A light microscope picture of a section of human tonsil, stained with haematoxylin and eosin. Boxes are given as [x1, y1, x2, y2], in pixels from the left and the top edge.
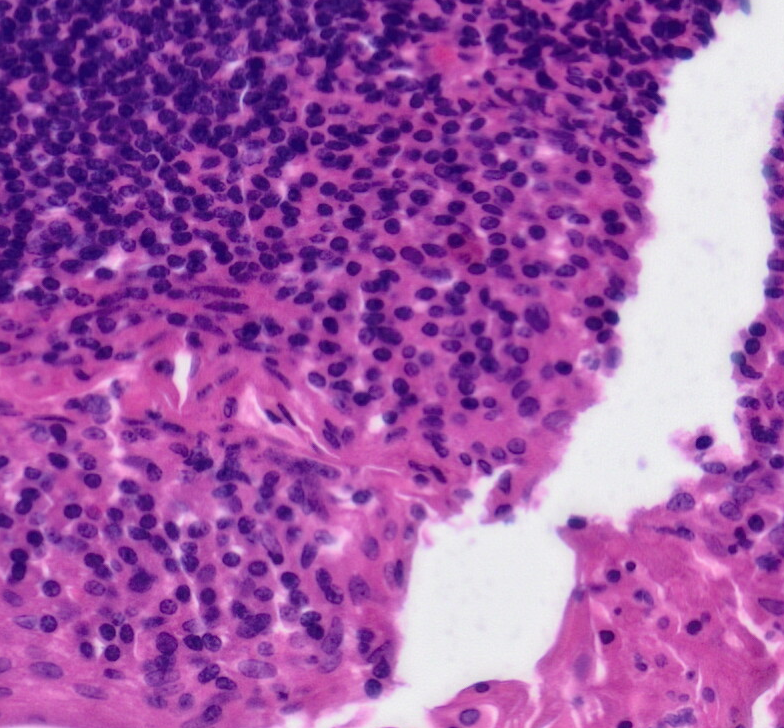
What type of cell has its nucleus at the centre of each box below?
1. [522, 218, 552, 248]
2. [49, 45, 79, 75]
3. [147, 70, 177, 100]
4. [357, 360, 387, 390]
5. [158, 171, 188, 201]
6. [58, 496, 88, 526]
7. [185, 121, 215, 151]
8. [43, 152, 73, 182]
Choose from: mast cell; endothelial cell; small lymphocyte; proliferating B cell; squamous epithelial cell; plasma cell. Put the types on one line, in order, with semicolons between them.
plasma cell; small lymphocyte; small lymphocyte; plasma cell; small lymphocyte; plasma cell; small lymphocyte; small lymphocyte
